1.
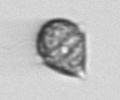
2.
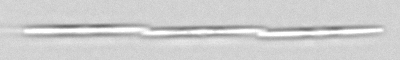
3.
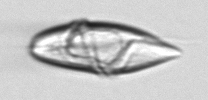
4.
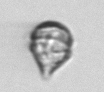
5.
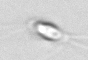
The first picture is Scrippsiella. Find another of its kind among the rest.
Picture 4.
